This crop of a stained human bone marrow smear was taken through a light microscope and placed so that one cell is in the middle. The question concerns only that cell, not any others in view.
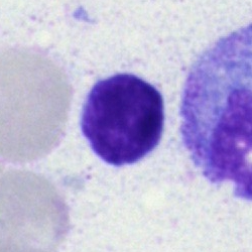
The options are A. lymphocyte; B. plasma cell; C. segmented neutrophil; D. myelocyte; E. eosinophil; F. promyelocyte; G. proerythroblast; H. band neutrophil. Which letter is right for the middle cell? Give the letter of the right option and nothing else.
A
